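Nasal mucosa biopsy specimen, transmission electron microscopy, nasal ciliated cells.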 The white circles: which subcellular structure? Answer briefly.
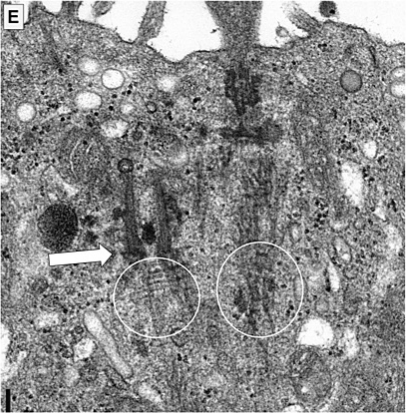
rootlets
